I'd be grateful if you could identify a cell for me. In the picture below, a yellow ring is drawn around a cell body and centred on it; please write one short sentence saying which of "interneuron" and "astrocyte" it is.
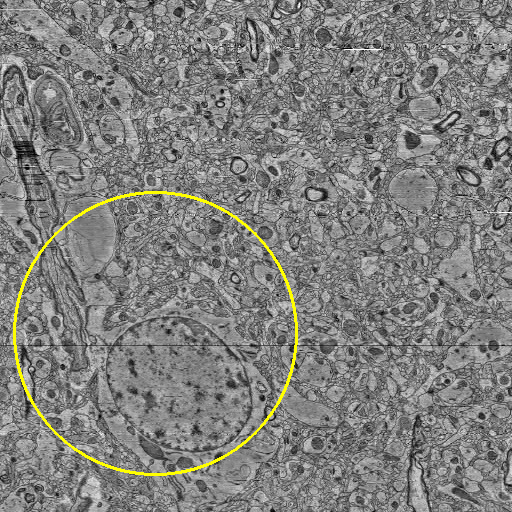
The cell under the ring's centre is an astrocyte.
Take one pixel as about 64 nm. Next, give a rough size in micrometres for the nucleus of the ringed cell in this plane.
In this plane the nucleus measures roughly 10 by 9 micrometres.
